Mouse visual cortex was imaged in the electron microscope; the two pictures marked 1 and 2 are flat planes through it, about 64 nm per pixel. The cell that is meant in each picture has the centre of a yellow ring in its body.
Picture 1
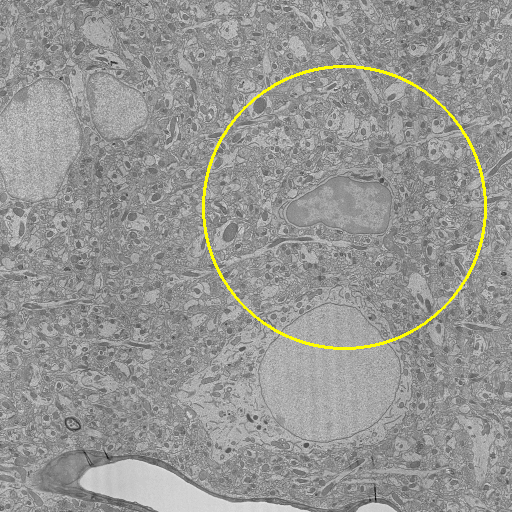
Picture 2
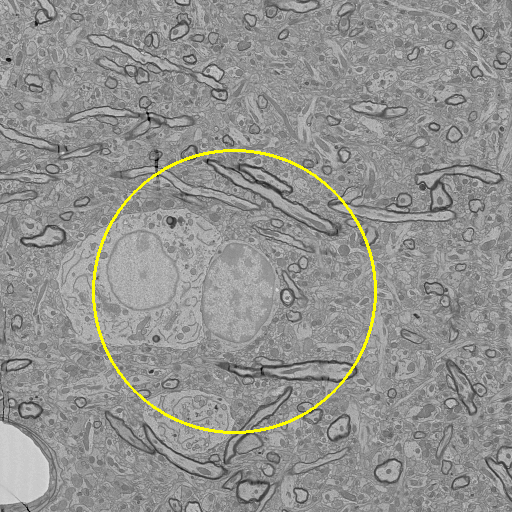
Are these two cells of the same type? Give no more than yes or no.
no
